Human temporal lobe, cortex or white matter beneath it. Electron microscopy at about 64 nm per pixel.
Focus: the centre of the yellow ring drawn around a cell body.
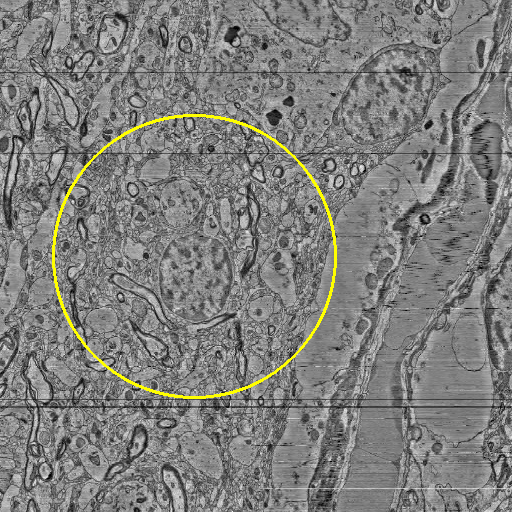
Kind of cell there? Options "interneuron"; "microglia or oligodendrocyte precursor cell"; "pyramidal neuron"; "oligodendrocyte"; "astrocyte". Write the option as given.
oligodendrocyte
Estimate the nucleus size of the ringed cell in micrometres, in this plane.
The nucleus is approximately 6 micrometers long by 5 micrometers wide in this plane.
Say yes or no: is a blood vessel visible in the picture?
Yes, a blood vessel is present in this picture.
